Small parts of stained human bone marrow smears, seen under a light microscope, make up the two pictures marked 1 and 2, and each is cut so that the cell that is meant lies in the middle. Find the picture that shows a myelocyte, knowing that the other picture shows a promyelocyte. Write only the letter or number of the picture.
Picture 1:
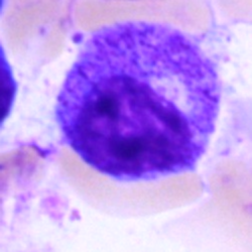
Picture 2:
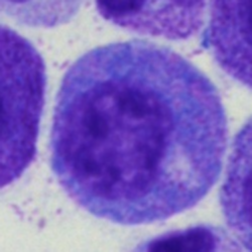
1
